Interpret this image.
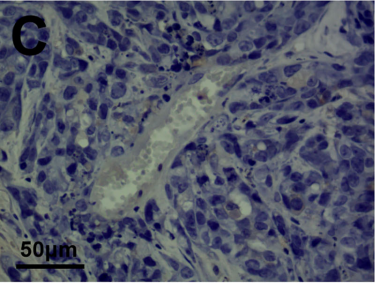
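Tumor tissue made of densely packed cells with hematoxylin-blue nuclei and very little brown staining. The tumor cells form solid sheets; their nuclei are large, oval to irregular, and vary in size and darkness, with scant cytoplasm between them. Running diagonally through the center is a single elongated channel with a pale, faintly granular content, bordered by flattened cells. Brown stain is scarce, seen only as faint, scattered tinges rather than a network of lined channels, so the field is dominated by blue tumor cells.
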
